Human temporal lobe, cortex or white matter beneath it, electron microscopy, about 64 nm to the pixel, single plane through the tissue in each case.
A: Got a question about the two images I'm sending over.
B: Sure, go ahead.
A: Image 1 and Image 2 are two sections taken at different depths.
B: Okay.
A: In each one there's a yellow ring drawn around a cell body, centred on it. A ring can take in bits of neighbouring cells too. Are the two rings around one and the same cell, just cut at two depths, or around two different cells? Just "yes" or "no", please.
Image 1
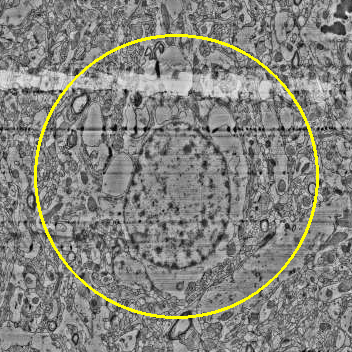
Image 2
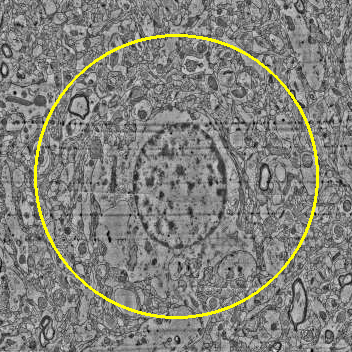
yes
